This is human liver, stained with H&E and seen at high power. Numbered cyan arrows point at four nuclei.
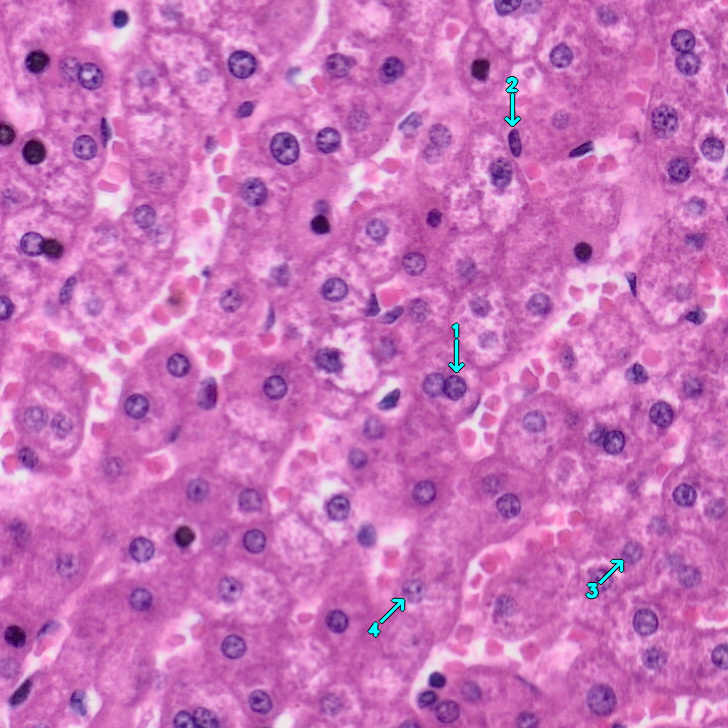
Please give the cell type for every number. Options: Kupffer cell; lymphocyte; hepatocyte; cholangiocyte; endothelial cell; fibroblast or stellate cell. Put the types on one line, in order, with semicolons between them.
hepatocyte; fibroblast or stellate cell; hepatocyte; hepatocyte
